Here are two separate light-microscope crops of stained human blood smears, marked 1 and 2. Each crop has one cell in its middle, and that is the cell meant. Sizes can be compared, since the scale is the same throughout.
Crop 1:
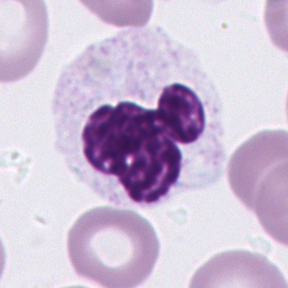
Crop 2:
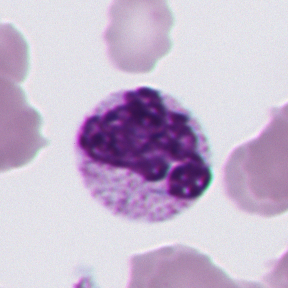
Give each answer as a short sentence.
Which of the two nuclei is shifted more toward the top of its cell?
In crop 2 the nucleus is shifted more toward the top.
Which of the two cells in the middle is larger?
Crop 1 holds the larger cell; it covers about 1.5 times the area of the cell in crop 2.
